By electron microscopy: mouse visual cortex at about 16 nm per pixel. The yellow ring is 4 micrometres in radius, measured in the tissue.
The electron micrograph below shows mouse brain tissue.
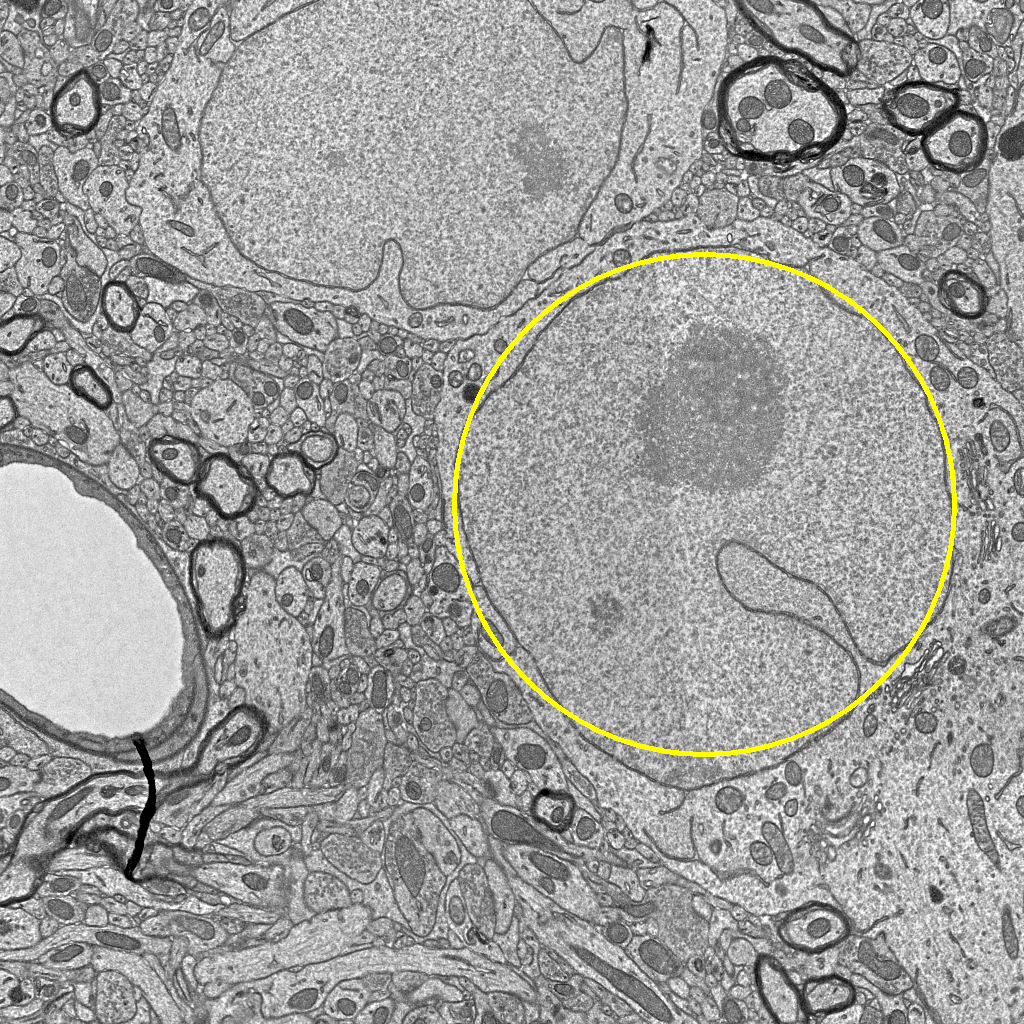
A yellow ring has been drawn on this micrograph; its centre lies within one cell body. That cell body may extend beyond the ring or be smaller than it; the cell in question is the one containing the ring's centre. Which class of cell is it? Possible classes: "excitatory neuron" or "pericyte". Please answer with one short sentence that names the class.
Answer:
In the centre of the ring sits an excitatory neuron.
